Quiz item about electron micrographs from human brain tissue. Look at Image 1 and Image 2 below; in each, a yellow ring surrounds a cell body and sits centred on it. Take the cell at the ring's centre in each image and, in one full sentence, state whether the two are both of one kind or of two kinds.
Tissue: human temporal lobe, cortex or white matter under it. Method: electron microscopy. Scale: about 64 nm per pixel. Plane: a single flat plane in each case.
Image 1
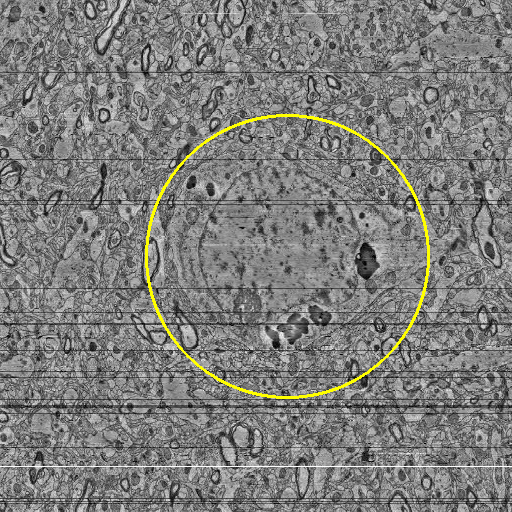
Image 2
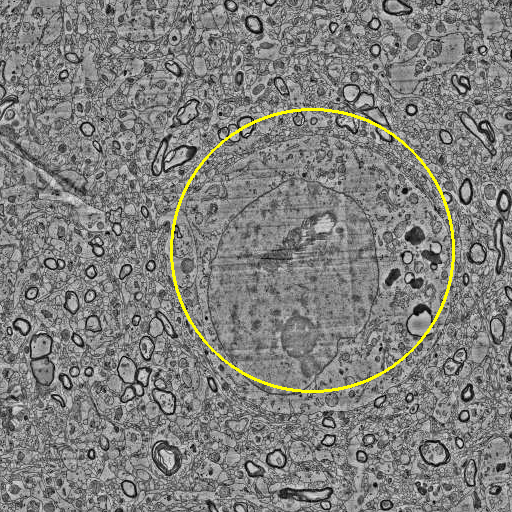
In Image 1 and Image 2, the cells at the ring centres are of two kinds.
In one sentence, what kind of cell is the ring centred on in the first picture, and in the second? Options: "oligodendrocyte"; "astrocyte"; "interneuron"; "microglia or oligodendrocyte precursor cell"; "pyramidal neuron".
The cell at the centre of the second ring is a pyramidal neuron; the first ring's cell is an interneuron.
